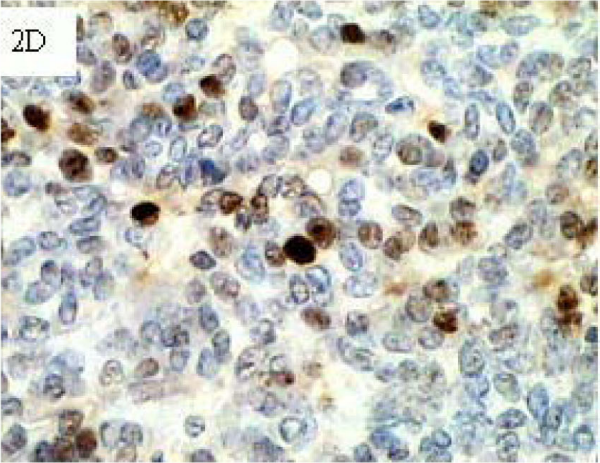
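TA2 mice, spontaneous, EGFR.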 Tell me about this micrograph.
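Breast cancer tissue forms a solid sheet of crowded tumour cells with oval to round nuclei and scant cytoplasm, without glandular lumina or fat. Scattered nuclei are stained brown, a few of them intensely dark, while most nuclei stay pale blue.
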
